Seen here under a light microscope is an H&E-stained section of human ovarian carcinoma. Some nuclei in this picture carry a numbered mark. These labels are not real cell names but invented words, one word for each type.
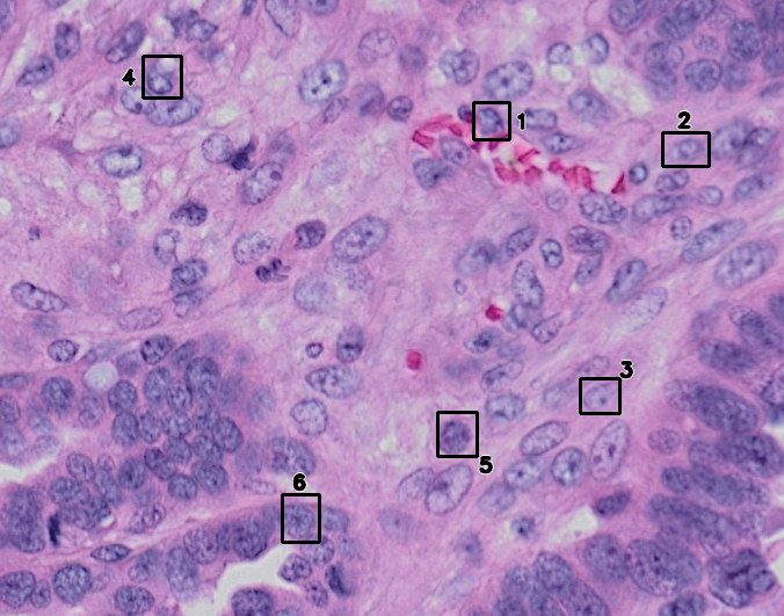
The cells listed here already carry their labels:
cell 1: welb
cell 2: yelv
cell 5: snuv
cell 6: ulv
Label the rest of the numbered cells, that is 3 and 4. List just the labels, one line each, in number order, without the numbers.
yelv
yelv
